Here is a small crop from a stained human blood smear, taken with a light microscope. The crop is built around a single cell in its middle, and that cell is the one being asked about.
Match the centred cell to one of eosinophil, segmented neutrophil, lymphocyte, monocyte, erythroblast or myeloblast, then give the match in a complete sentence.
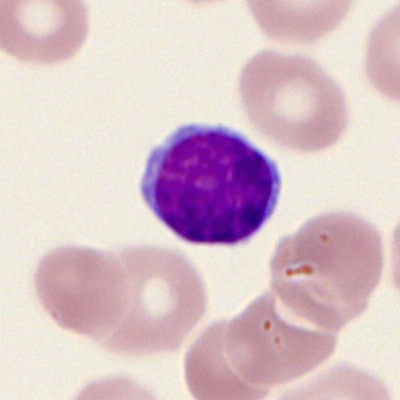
The cell at the central position in this crop is a lymphocyte.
